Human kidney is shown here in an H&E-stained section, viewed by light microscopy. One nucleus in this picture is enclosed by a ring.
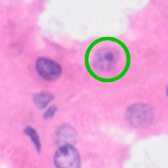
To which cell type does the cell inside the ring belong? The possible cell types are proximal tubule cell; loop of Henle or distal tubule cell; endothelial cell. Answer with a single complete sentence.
Microscopically, the cell inside the ring is categorized as a proximal tubule cell.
